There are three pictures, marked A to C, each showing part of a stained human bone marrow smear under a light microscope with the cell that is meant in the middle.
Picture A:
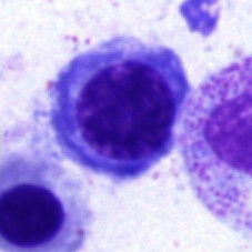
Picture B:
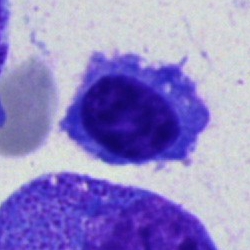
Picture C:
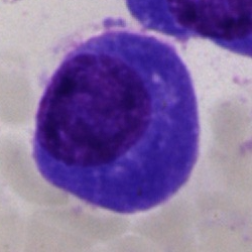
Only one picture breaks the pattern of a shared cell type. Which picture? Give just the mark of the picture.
A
